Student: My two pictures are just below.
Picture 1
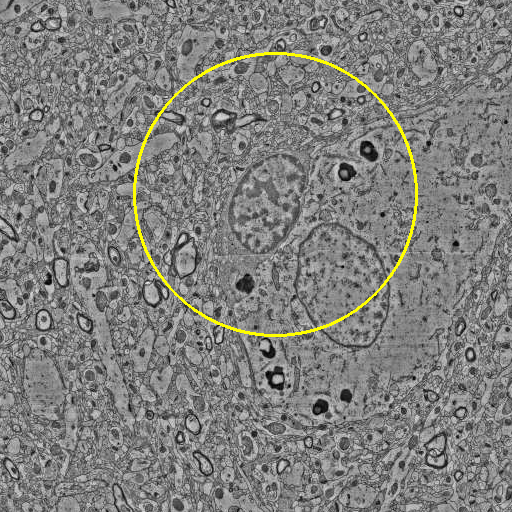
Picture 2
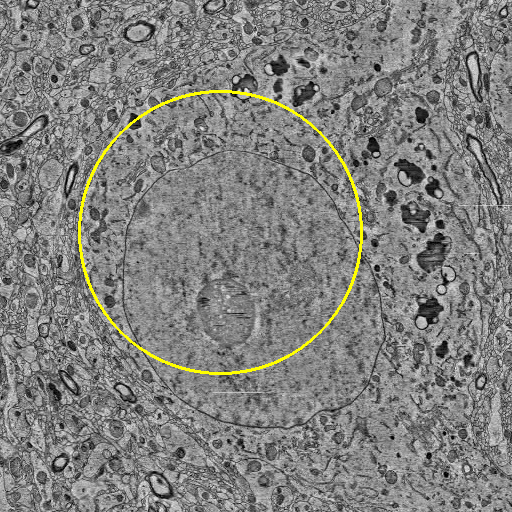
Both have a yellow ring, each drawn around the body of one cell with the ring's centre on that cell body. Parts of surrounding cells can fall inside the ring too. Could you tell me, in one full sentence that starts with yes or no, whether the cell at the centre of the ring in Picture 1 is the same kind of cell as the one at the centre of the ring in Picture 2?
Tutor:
No, the two cells are of two kinds.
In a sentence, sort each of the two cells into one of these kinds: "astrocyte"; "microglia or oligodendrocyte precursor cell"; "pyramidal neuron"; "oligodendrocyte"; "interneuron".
The first of the two cells is an oligodendrocyte, and the second is a pyramidal neuron.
